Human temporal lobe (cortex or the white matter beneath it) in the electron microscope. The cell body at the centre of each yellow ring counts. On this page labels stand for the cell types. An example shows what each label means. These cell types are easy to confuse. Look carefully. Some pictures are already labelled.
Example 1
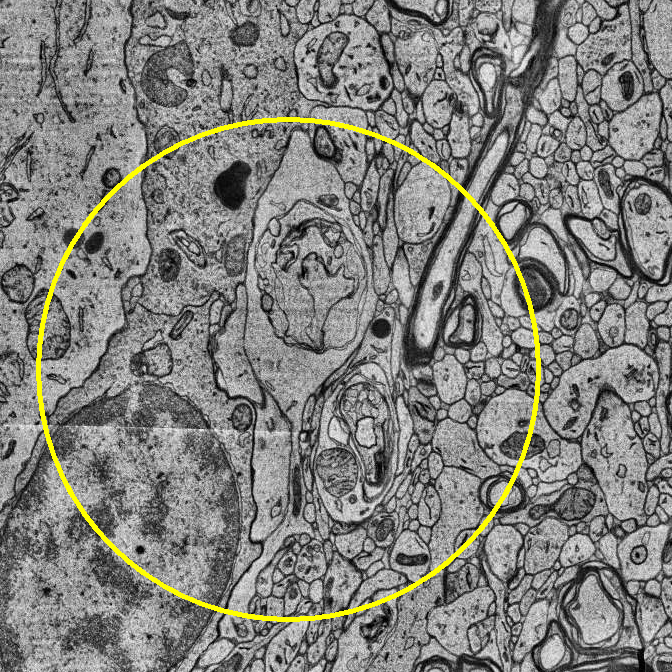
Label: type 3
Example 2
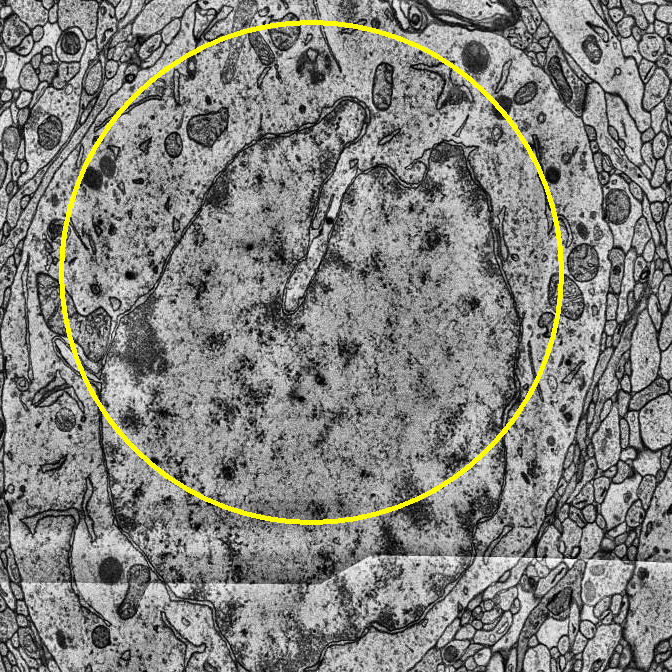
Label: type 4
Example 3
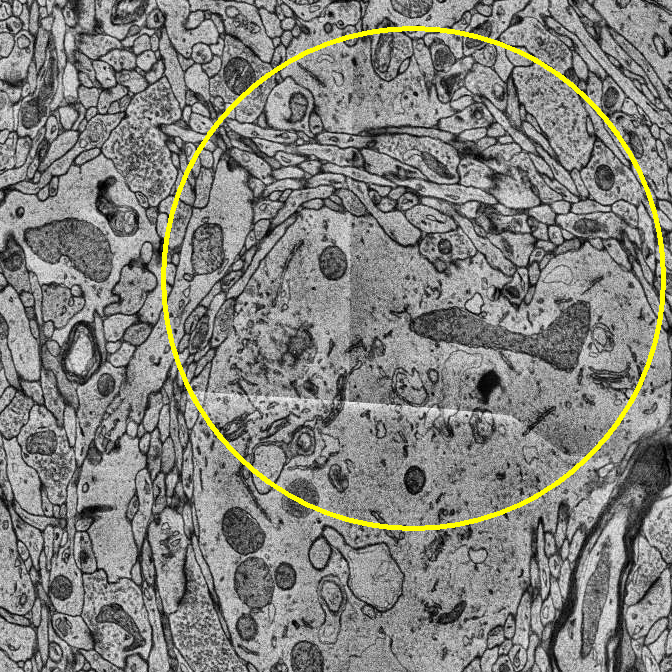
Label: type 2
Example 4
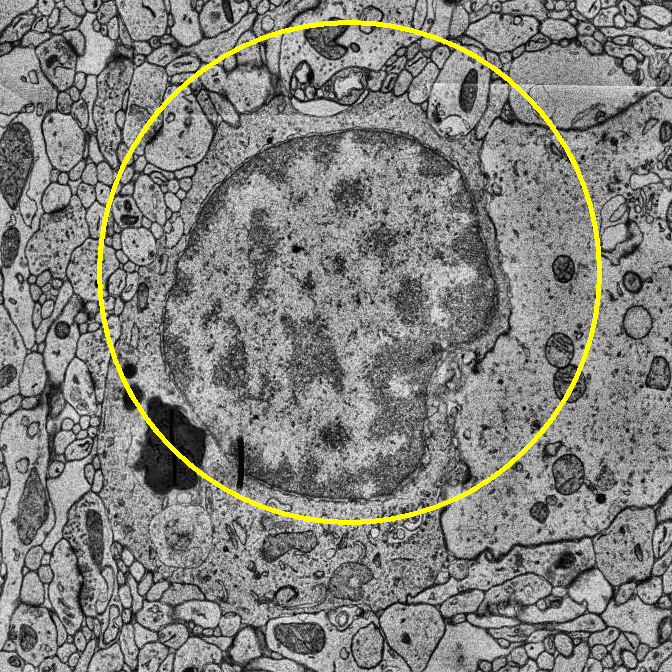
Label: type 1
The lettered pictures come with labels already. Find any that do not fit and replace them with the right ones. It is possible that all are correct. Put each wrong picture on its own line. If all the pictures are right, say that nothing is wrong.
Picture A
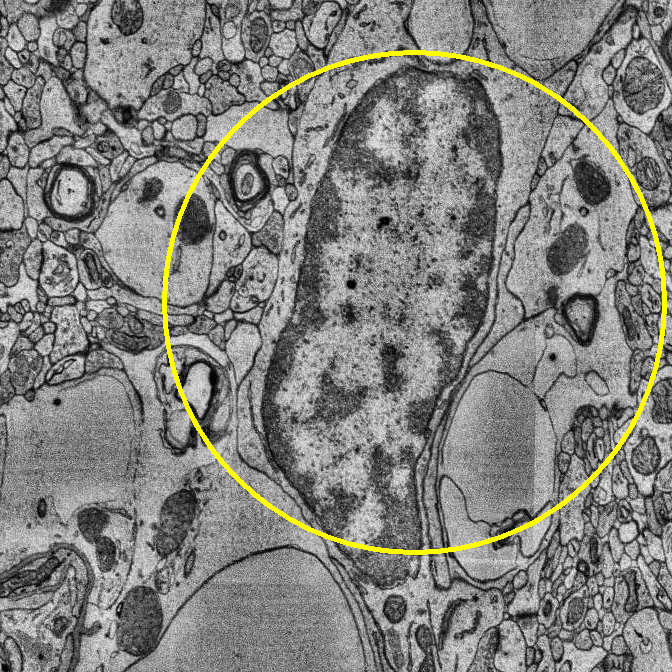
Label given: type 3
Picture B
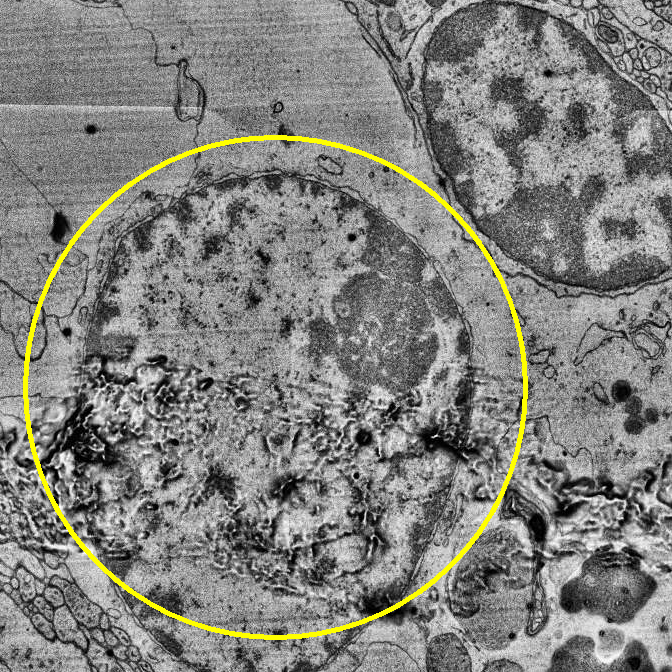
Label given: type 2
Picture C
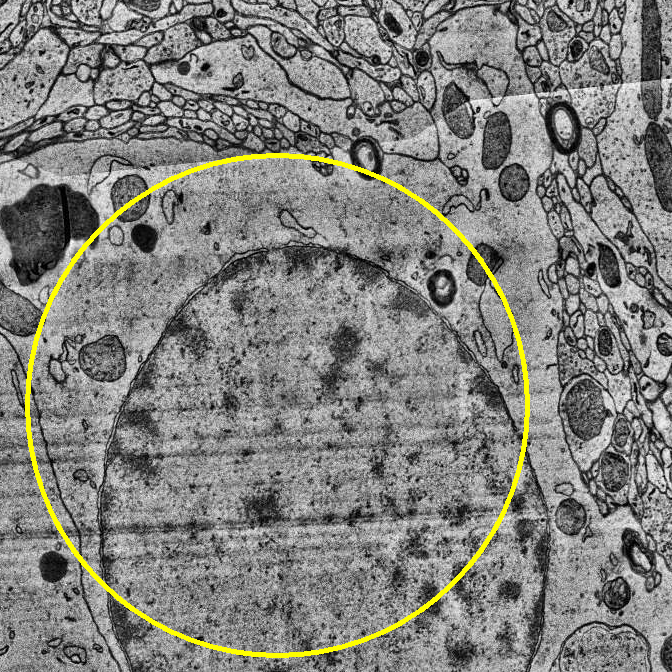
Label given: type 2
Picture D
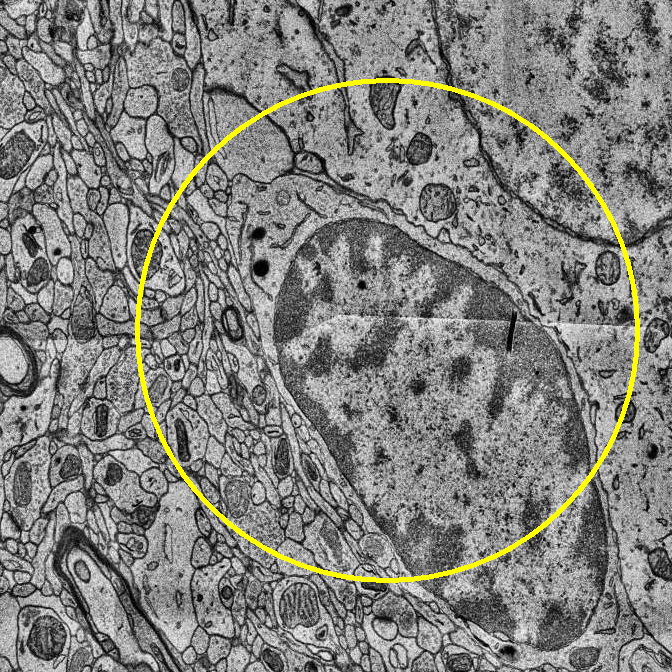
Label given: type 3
Nothing to fix; every label fits.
